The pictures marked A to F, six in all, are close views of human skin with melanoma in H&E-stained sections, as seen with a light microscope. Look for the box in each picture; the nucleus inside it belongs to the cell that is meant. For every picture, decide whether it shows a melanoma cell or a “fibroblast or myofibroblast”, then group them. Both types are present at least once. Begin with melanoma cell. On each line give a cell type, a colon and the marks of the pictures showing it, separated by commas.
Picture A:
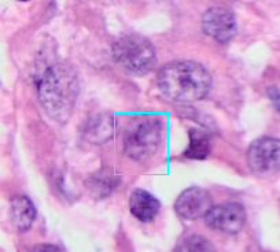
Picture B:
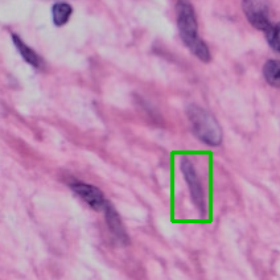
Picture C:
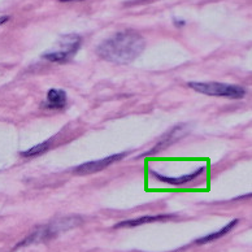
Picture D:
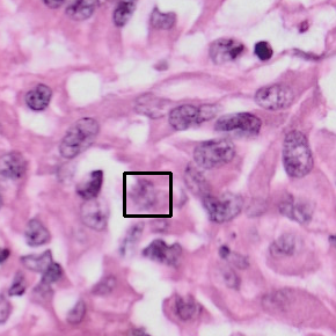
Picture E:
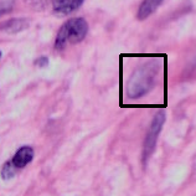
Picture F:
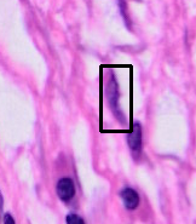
melanoma cell: A, D
fibroblast or myofibroblast: B, C, E, F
